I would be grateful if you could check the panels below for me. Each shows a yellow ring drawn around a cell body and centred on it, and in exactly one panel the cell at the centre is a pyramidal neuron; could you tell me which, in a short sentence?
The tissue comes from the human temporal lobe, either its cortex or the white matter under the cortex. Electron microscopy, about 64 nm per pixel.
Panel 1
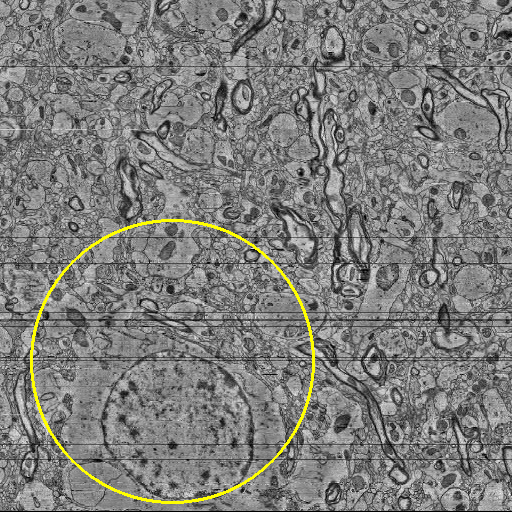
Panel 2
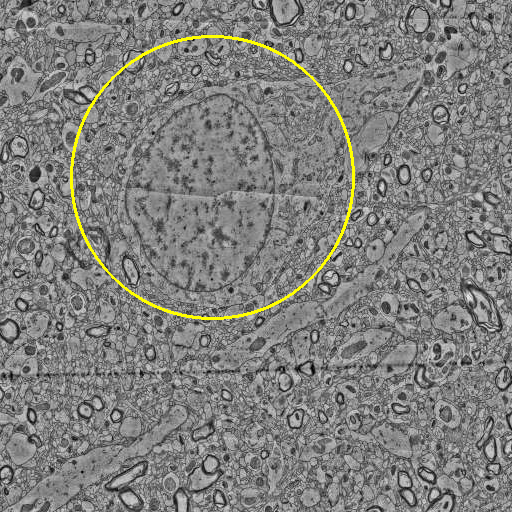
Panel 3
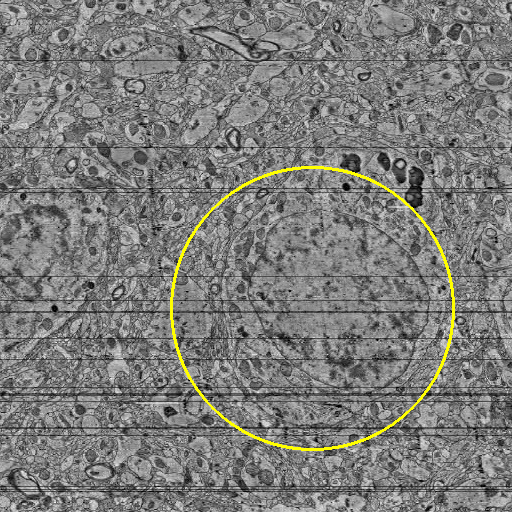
The ring in Panel 2 is centred on it.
